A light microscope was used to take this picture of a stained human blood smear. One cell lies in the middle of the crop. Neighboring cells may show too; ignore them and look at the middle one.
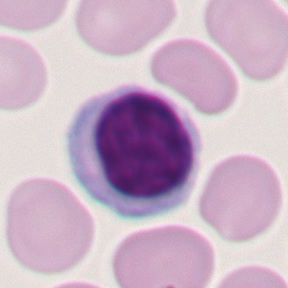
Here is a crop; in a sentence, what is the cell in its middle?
The cell of interest, in the center, is a typical lymphocyte.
